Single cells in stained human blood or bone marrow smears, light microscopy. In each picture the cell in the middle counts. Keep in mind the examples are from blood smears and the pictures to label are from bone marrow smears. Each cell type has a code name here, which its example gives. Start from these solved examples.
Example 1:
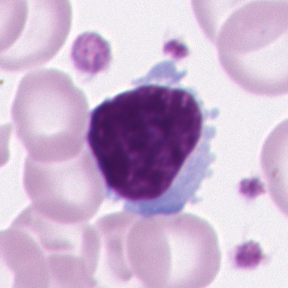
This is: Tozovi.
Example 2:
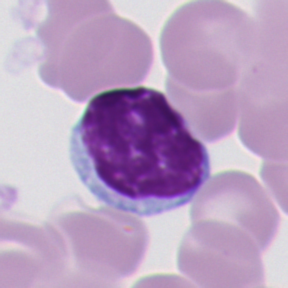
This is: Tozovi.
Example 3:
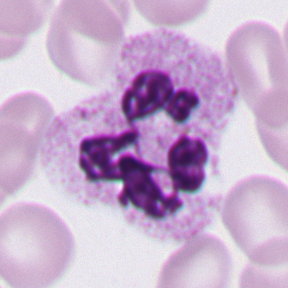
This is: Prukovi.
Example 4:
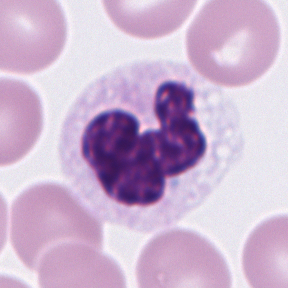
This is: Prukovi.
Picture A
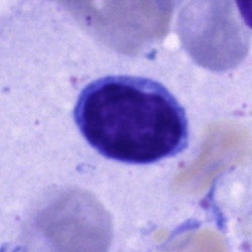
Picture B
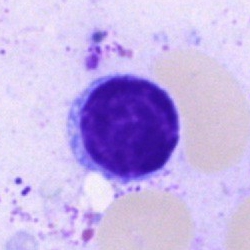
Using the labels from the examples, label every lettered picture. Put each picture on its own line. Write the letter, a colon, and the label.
A: Tozovi.
B: Tozovi.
